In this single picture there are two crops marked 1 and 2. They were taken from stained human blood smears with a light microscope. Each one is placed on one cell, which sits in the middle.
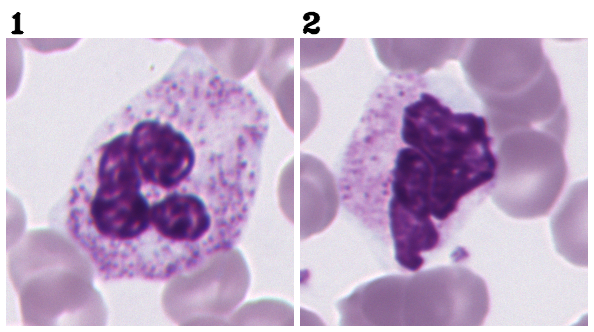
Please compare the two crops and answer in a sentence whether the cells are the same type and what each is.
Yes, segmented neutrophils are the cells in the middle of both crops.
